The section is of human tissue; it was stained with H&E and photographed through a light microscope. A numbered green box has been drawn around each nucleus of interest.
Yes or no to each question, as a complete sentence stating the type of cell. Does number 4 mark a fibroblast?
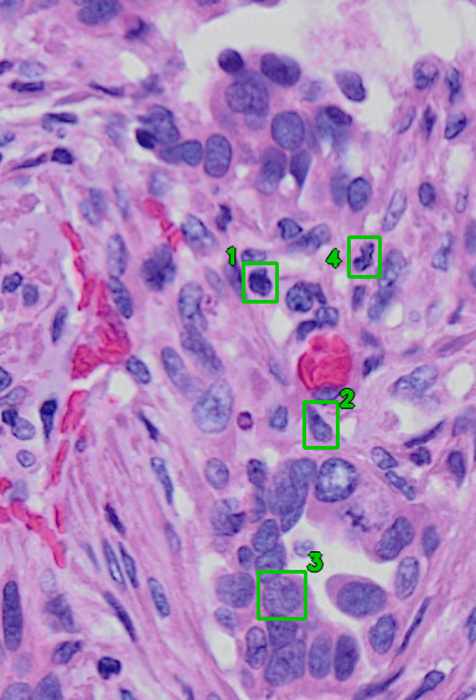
No, cell 4 is a lymphocyte and should not be called a fibroblast.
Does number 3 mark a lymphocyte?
No, the cell identified by number 3 is a carcinoma cell, not a lymphocyte.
